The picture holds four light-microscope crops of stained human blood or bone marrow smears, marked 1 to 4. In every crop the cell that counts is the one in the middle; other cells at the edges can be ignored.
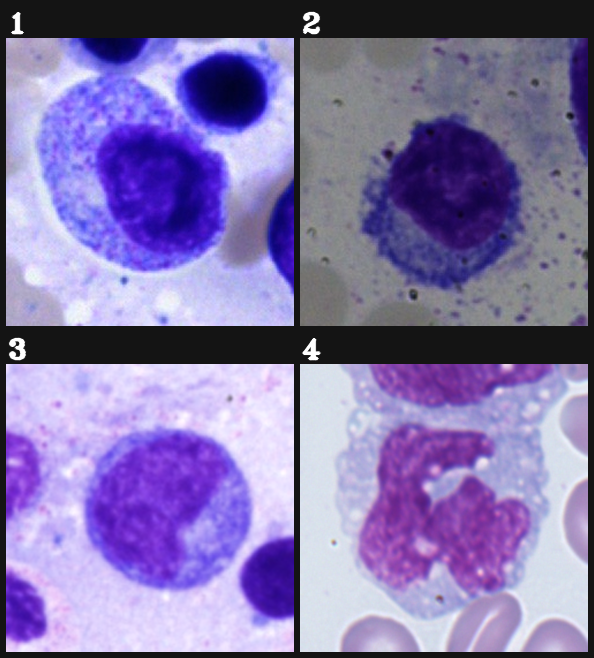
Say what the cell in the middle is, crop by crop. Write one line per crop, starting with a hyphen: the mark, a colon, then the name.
- 1: promyelocyte
- 2: lymphocyte
- 3: monocyte
- 4: monocyte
